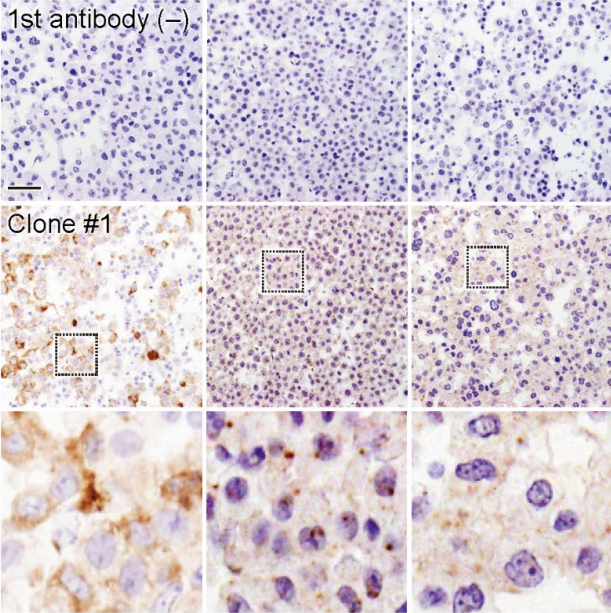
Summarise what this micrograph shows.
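The cells are rounded, with round to oval nuclei stained blue-purple and moderately abundant pale cytoplasm. In the left column it is strong and patchy, with some cells heavily brown and coarse dark granules.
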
